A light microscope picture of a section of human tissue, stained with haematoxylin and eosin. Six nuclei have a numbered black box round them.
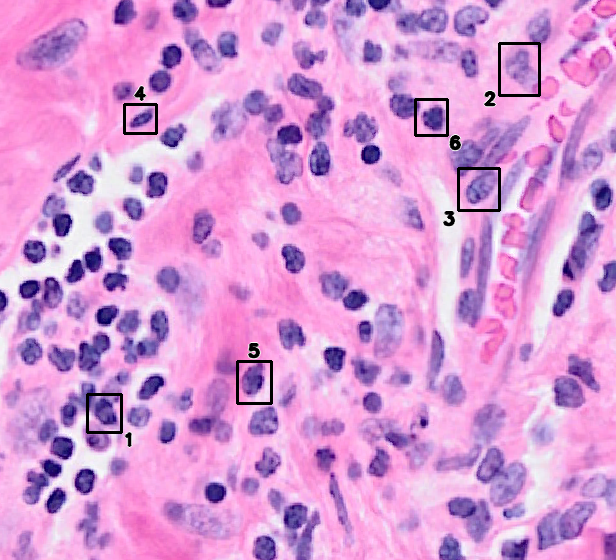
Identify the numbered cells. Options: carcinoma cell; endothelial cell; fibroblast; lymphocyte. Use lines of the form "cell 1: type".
cell 1: lymphocyte
cell 2: endothelial cell
cell 3: endothelial cell
cell 4: lymphocyte
cell 5: lymphocyte
cell 6: lymphocyte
